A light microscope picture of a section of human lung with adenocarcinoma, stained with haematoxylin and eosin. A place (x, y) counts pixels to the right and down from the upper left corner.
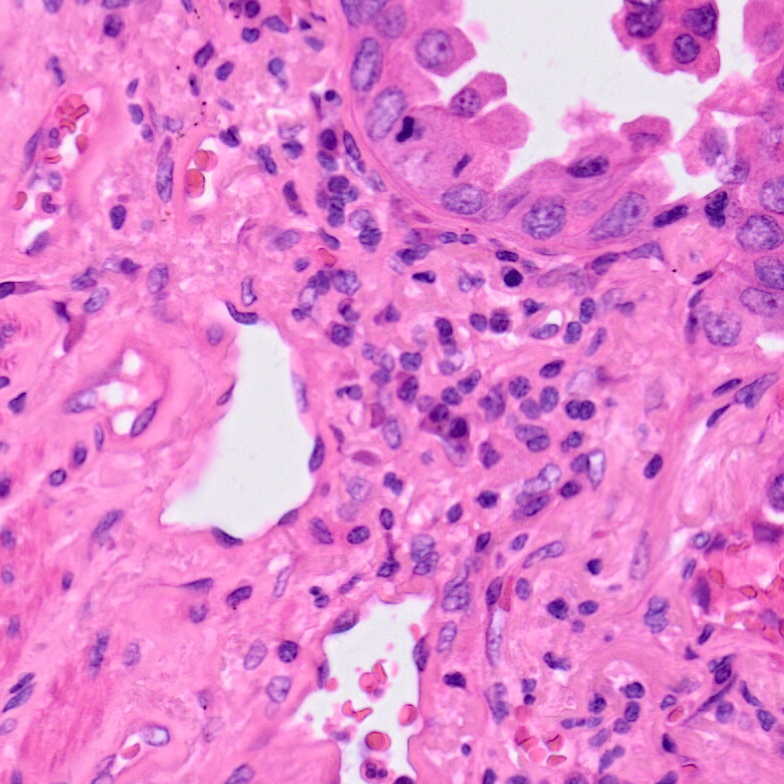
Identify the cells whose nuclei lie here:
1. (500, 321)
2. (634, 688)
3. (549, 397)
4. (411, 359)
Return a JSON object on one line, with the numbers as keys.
{"1": "plasma cell", "2": "lymphocyte", "3": "lymphocyte", "4": "lymphocyte"}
